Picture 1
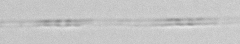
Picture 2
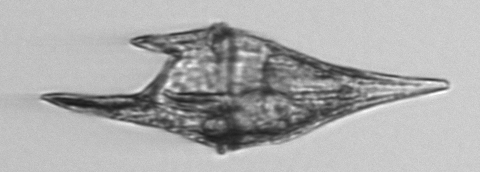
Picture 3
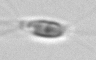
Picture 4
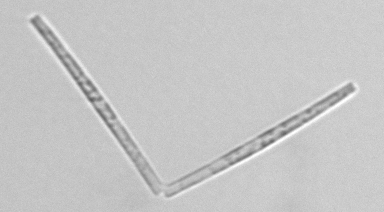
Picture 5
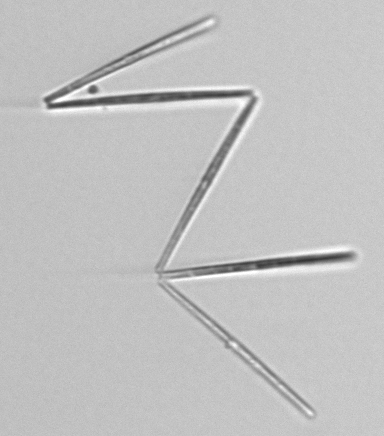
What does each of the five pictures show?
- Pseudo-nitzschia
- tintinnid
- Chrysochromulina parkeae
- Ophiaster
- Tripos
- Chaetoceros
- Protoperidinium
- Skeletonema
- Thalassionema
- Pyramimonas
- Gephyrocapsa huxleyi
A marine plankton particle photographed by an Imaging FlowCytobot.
1: Pseudo-nitzschia
2: Tripos
3: Chrysochromulina parkeae
4: Thalassionema
5: Thalassionema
